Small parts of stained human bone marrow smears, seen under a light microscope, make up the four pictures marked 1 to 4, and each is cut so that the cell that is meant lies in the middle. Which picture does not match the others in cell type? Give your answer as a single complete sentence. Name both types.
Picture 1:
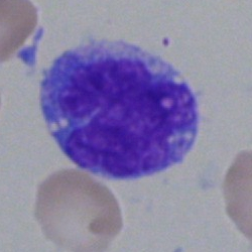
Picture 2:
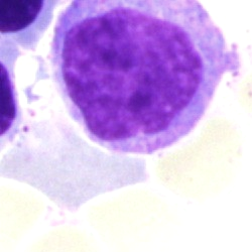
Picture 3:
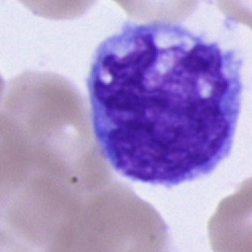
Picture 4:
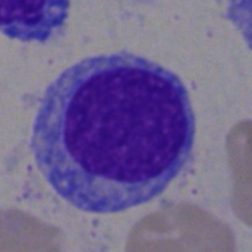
All pictures except 4 show monocytes; picture 4 shows a lymphocyte.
